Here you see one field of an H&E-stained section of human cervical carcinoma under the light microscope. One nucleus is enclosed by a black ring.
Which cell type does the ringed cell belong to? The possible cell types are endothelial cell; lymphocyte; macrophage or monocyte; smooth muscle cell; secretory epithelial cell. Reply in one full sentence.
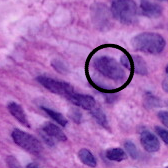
Microscopically, the ringed cell is categorized as a secretory epithelial cell.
